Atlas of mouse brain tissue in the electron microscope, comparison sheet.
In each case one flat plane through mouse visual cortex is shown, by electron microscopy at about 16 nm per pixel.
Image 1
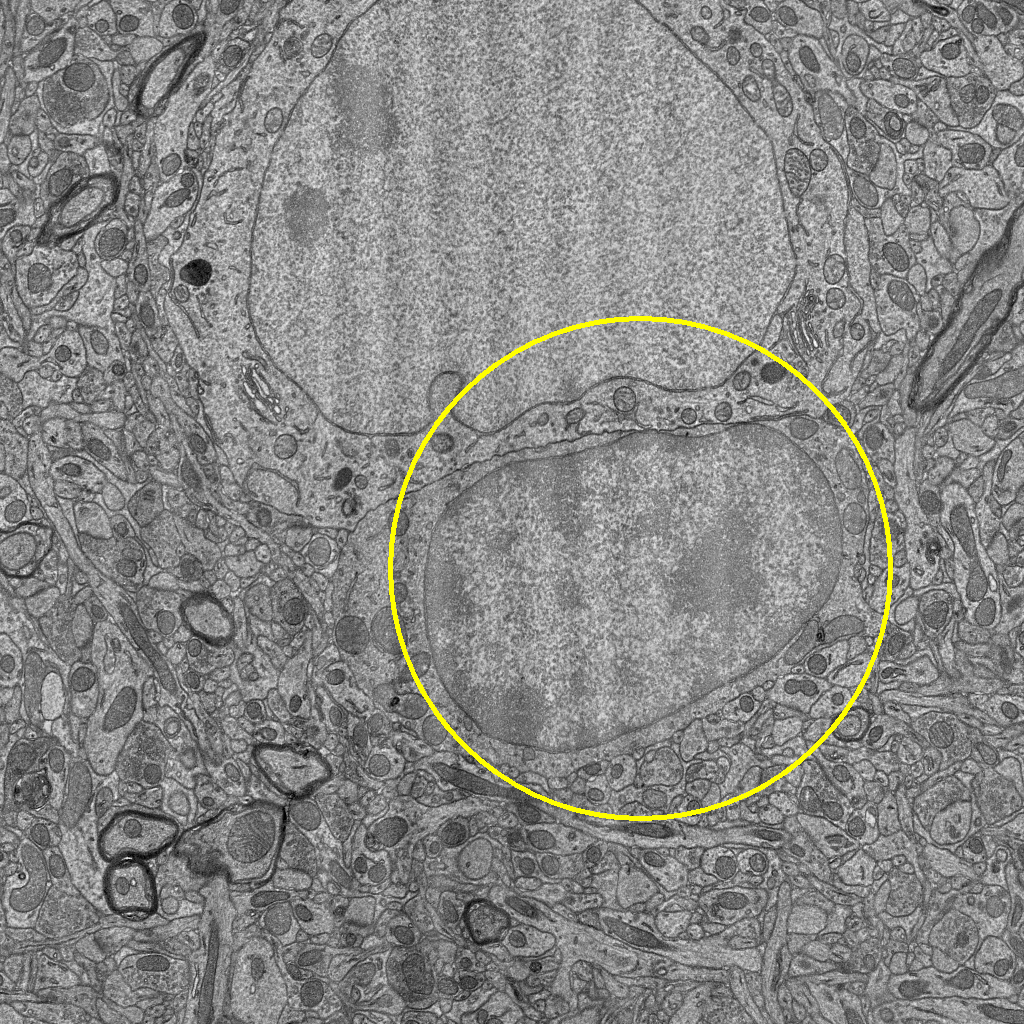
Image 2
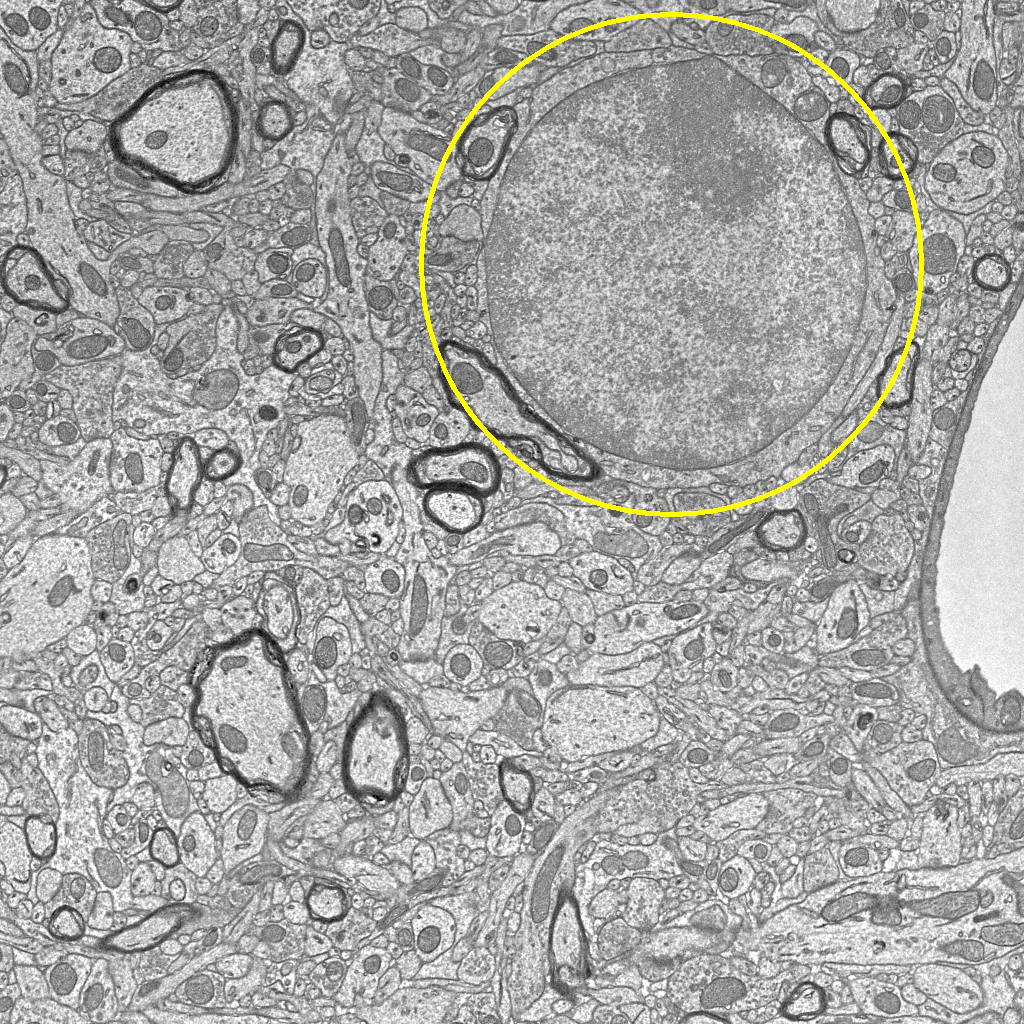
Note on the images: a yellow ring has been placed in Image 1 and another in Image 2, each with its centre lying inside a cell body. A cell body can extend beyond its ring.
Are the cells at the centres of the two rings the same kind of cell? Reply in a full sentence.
Yes, both cells are of the same kind.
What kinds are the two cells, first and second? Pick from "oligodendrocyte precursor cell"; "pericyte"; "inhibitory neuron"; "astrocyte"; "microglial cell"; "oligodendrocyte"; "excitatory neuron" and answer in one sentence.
The ring centre holds an oligodendrocyte in each of the two pictures.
